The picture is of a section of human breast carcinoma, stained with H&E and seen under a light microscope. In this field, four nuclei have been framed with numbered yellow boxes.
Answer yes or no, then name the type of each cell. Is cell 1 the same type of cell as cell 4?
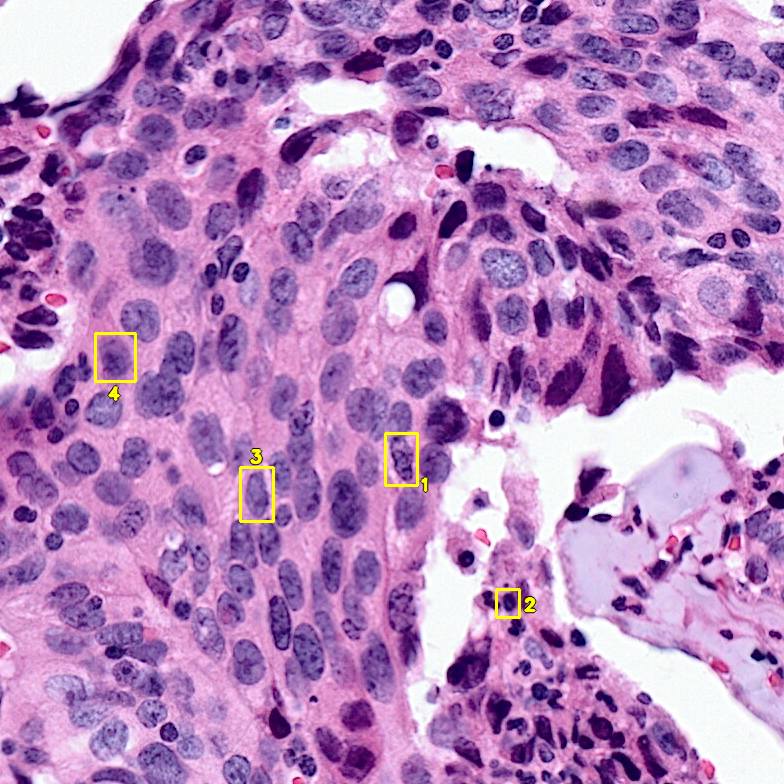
Yes, both are carcinoma cells.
